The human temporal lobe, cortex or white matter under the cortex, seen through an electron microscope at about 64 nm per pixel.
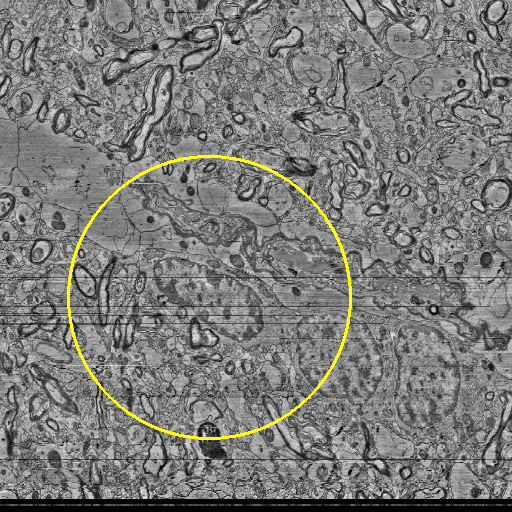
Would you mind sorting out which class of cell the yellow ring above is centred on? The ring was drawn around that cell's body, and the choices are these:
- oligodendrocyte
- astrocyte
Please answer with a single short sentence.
This is the cell body of an oligodendrocyte.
